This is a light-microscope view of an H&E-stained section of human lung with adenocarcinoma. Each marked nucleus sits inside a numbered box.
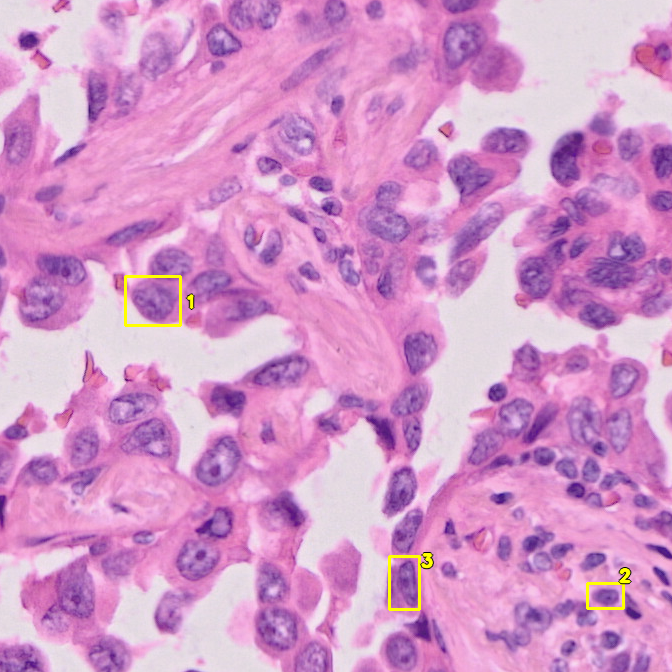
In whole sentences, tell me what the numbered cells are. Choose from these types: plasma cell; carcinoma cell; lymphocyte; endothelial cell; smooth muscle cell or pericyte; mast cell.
Cell 1 is a carcinoma cell, cell 2 is a lymphocyte and cell 3 is a carcinoma cell.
